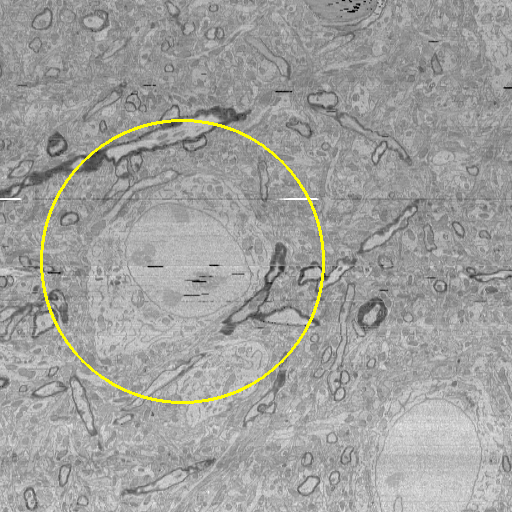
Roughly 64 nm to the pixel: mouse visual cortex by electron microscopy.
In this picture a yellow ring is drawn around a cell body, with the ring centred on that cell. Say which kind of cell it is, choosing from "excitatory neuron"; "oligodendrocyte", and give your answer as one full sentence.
Here it is an excitatory neuron that sits at the centre of the drawn yellow ring.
